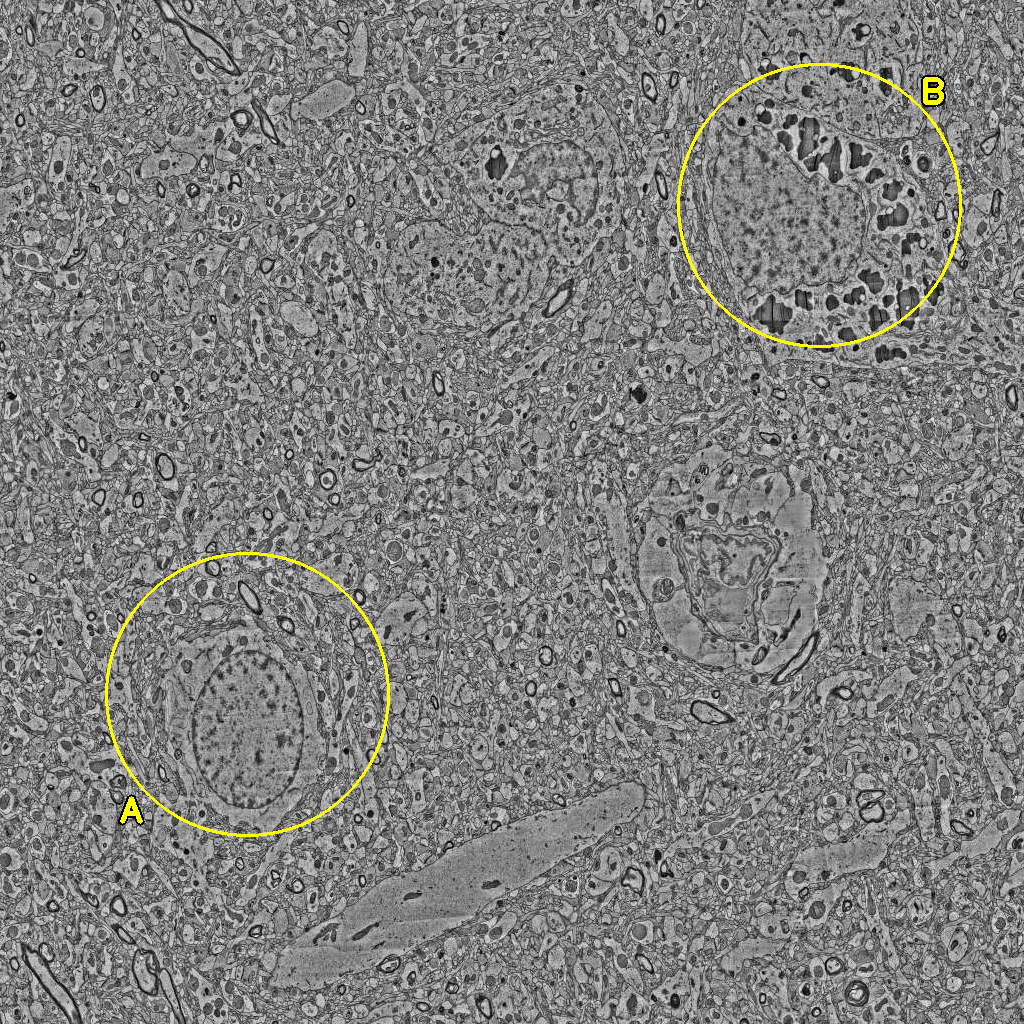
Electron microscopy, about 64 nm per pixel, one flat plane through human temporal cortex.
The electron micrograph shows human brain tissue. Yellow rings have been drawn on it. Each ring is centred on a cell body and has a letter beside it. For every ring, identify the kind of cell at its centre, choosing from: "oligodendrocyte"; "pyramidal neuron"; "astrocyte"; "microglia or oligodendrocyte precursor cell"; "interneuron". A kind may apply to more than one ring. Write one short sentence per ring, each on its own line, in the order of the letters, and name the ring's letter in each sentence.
Ring A is centred on an astrocyte.
Ring B is centred on an interneuron.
